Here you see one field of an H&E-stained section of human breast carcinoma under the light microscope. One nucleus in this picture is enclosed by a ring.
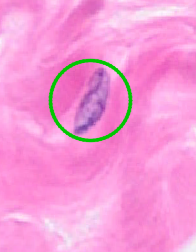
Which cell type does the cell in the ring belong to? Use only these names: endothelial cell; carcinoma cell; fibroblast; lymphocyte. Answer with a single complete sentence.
As far as its identity is concerned, the cell in the ring is a fibroblast.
